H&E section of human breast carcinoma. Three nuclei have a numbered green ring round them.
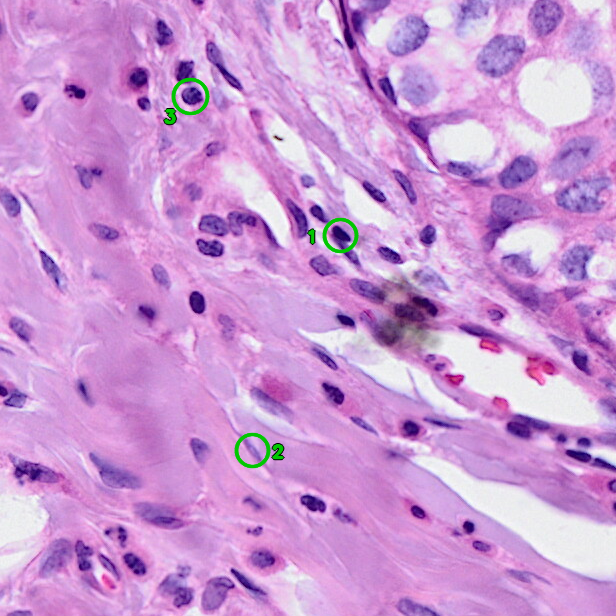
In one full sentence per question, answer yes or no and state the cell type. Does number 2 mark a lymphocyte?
No, number 2 does not mark a lymphocyte; it marks a fibroblast.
